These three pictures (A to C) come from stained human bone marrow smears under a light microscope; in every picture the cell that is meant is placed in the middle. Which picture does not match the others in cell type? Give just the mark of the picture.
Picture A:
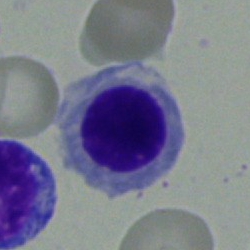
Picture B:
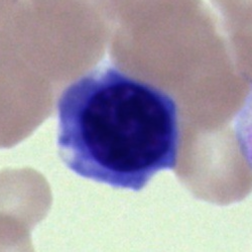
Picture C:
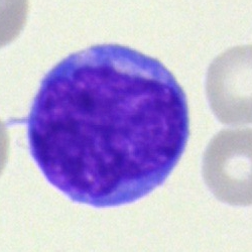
C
